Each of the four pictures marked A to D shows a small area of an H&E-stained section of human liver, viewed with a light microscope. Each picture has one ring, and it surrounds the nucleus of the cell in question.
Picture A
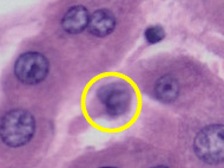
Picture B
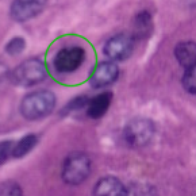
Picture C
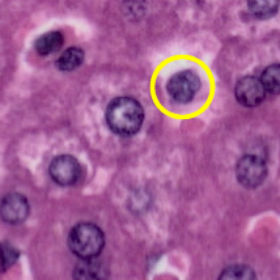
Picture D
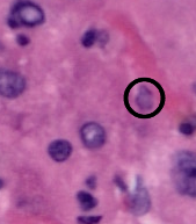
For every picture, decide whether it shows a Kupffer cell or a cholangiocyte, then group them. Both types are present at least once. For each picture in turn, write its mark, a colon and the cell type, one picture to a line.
A: Kupffer cell
B: cholangiocyte
C: Kupffer cell
D: Kupffer cell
